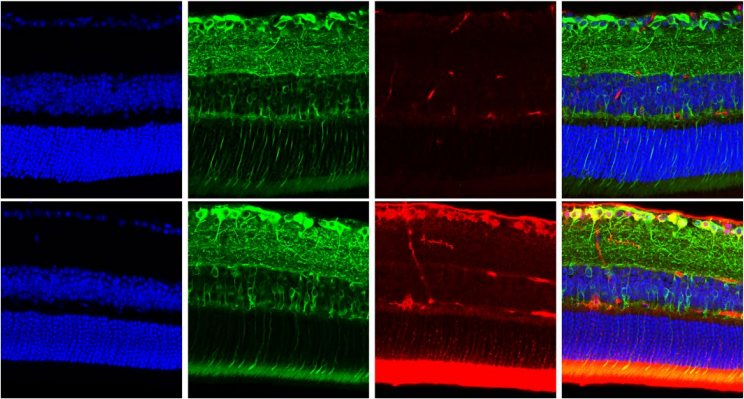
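This is a cross-section through the whole retina, with its layers stacked from top to bottom. A sparse row of green-filled neurons sits at the inner surface, and their green fibres form a dense meshwork in the layer below. A band of blue nuclei forms the middle layer, and a thicker, more crowded band of small blue nuclei lies lower down, crossed by fine vertical green fibres. In the upper image red appears only as a few thin strands. In the lower image red fills the top row of neurons, which turn yellow, red strands cross the layers, and a broad bright red band lies at the outer edge.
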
